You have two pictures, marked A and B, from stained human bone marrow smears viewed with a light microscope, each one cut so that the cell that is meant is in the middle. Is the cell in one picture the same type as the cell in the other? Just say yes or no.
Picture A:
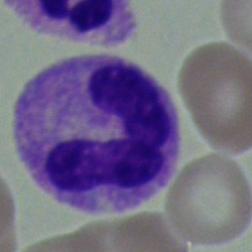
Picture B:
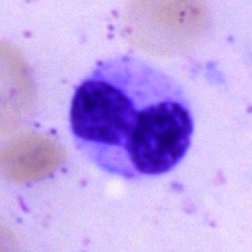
yes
